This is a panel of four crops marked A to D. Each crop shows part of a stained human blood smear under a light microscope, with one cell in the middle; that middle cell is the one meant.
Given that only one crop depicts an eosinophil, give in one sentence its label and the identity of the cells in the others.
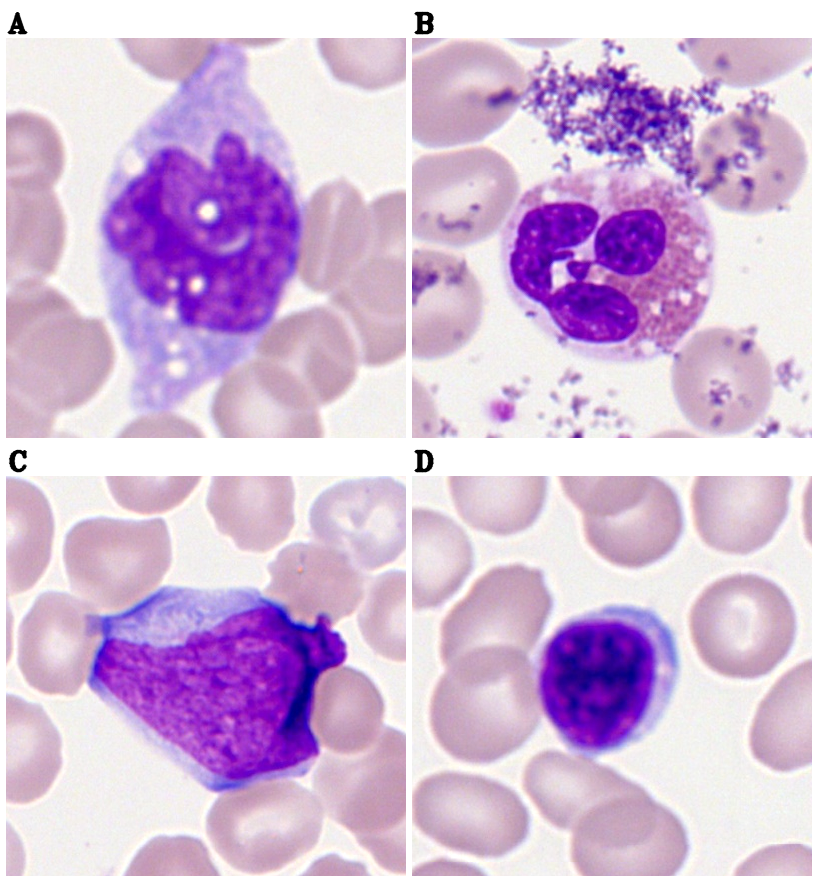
In this group, crop B shows an eosinophil, while crop A is a monocyte, crop C is a myeloblast and crop D is a lymphocyte.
